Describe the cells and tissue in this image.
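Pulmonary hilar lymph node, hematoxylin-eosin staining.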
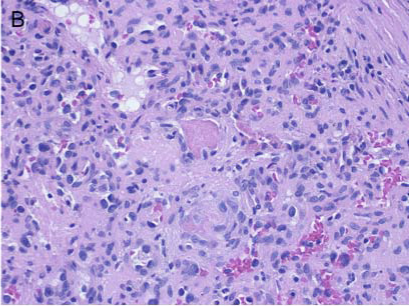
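Closely packed small vascular channels, many filled with red blood cells, are lined and surrounded by plump oval to spindle-shaped nuclei with pink cytoplasm. Between them lie pale pink homogeneous deposits and a few vacuolated cells. This is a lesion made of well-developed capillaries.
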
